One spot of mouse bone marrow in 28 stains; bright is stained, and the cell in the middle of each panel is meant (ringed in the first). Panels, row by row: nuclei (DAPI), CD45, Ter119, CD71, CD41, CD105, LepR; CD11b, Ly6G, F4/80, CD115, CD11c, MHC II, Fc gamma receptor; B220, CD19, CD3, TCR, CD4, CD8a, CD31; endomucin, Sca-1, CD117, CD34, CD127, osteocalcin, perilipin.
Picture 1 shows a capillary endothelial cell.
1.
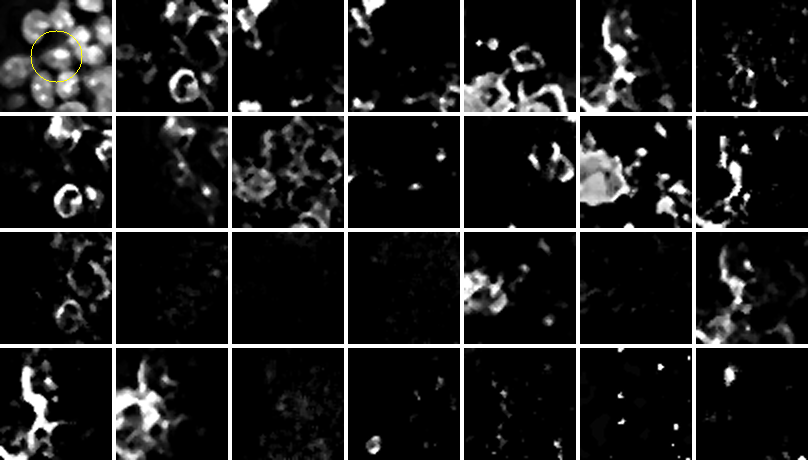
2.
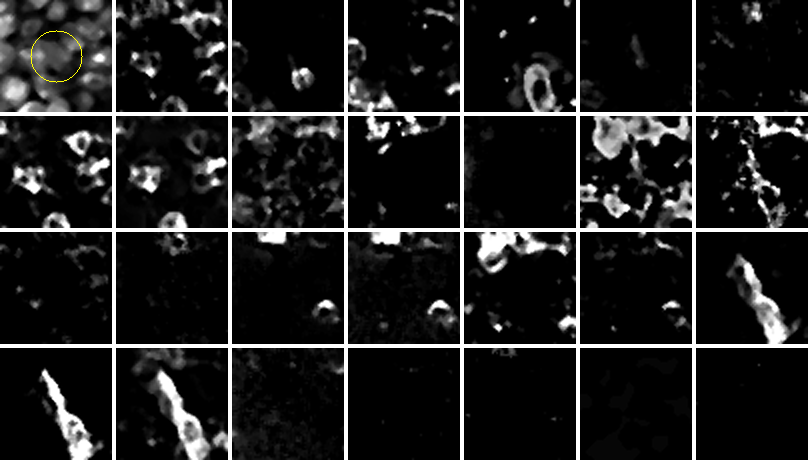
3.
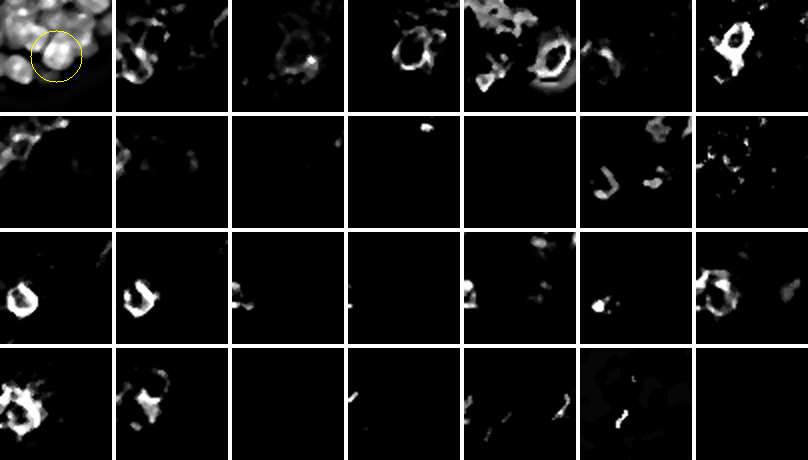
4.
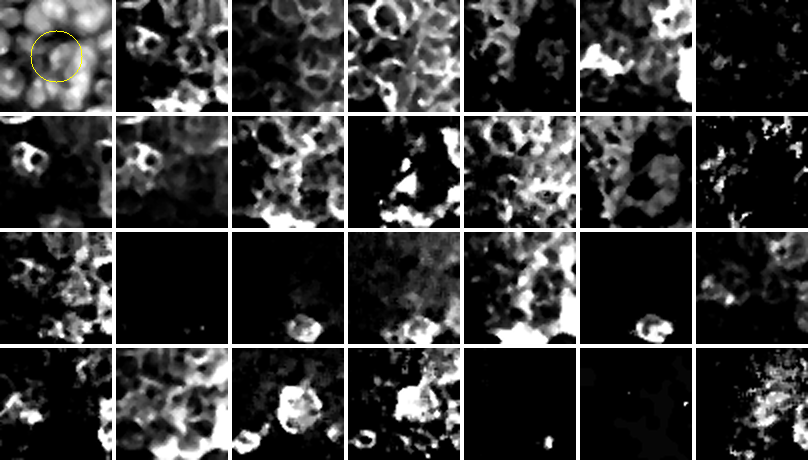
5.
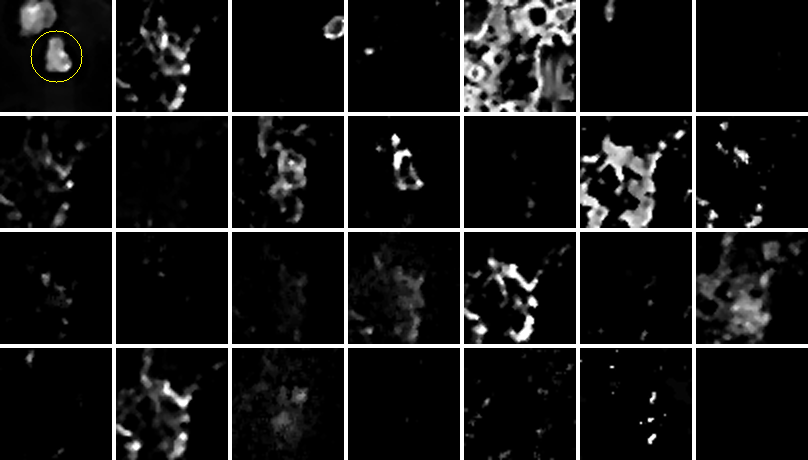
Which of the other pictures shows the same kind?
Picture 2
